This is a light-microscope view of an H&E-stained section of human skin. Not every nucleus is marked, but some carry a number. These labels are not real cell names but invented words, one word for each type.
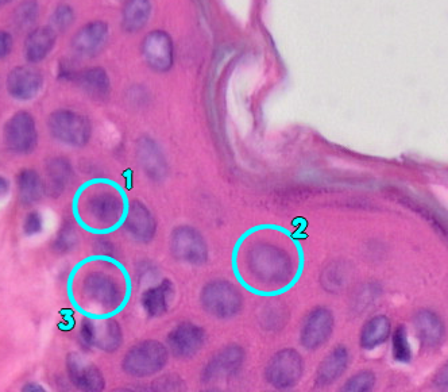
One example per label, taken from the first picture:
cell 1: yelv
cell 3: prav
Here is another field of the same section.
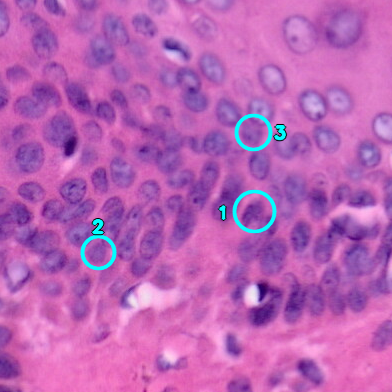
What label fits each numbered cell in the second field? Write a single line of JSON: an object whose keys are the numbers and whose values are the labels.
{"1": "prav", "2": "prav", "3": "yelv"}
